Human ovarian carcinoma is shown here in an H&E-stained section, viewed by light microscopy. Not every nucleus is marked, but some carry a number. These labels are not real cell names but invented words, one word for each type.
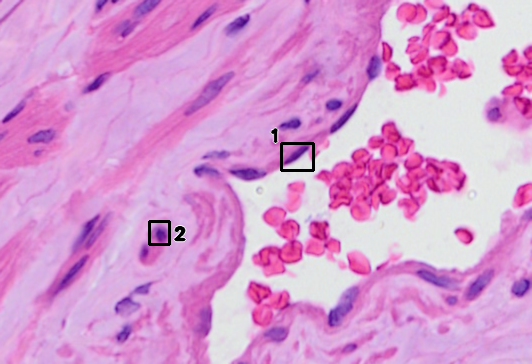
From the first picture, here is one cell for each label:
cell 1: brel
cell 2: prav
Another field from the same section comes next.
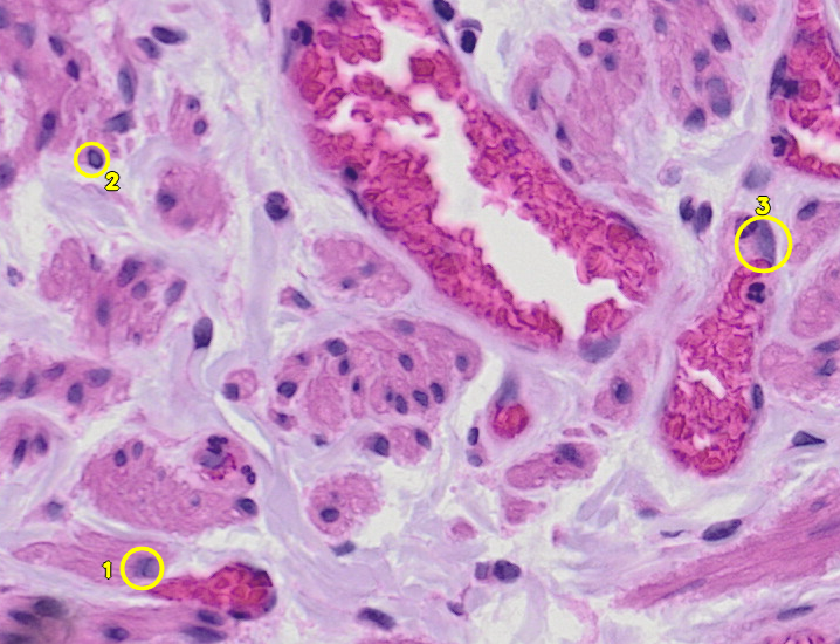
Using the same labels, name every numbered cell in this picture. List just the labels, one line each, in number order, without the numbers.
prav
prav
brel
